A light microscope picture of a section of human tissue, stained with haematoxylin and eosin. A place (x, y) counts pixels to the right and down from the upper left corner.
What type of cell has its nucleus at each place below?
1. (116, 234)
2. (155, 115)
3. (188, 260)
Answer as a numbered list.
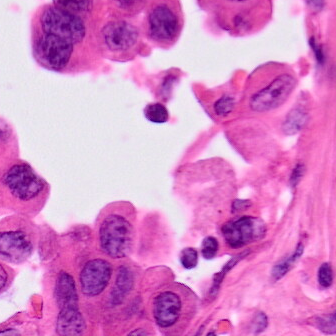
1. carcinoma cell
2. lymphocyte
3. lymphocyte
